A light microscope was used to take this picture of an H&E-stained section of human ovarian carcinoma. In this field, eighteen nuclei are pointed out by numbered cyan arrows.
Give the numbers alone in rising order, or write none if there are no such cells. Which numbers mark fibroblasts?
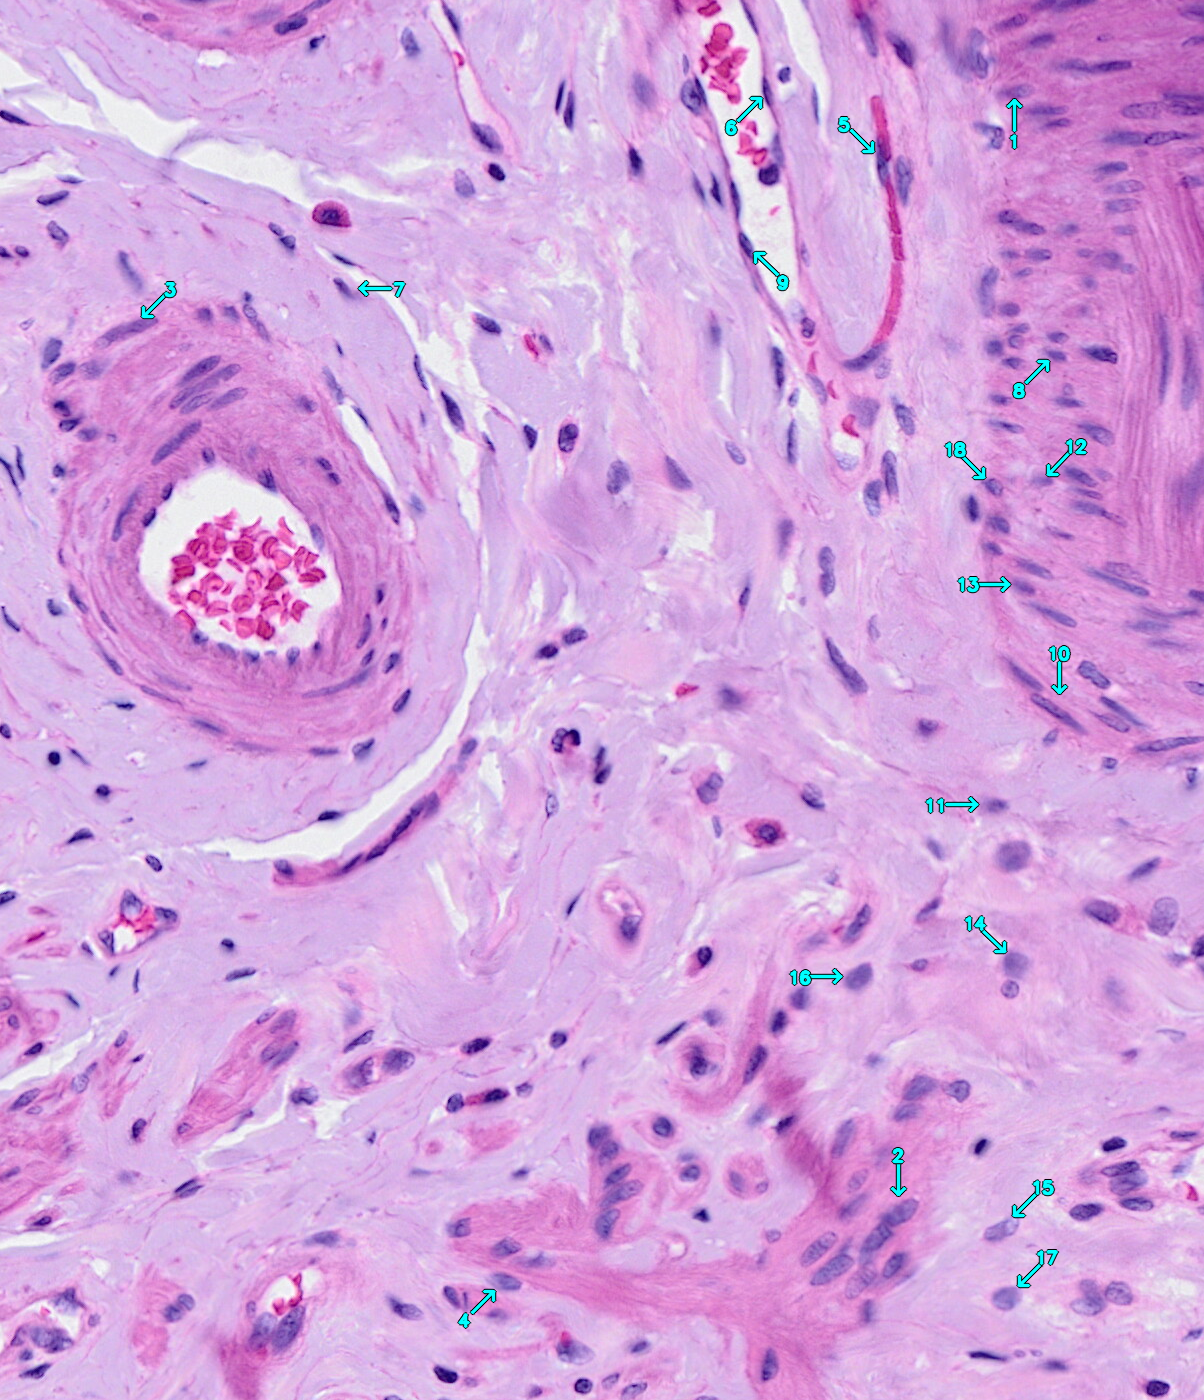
7, 11, 14, 15, 16, 17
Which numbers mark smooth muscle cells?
1, 2, 3, 4, 8, 10, 12, 13, 18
